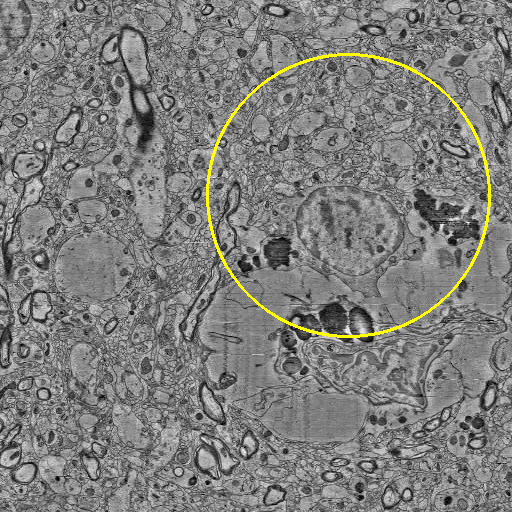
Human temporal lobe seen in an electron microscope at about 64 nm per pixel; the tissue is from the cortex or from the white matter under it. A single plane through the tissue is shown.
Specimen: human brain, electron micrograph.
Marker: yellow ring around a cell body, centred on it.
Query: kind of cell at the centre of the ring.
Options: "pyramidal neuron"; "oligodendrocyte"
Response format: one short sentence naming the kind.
This cell body belongs to an oligodendrocyte.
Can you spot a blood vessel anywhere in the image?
Yes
